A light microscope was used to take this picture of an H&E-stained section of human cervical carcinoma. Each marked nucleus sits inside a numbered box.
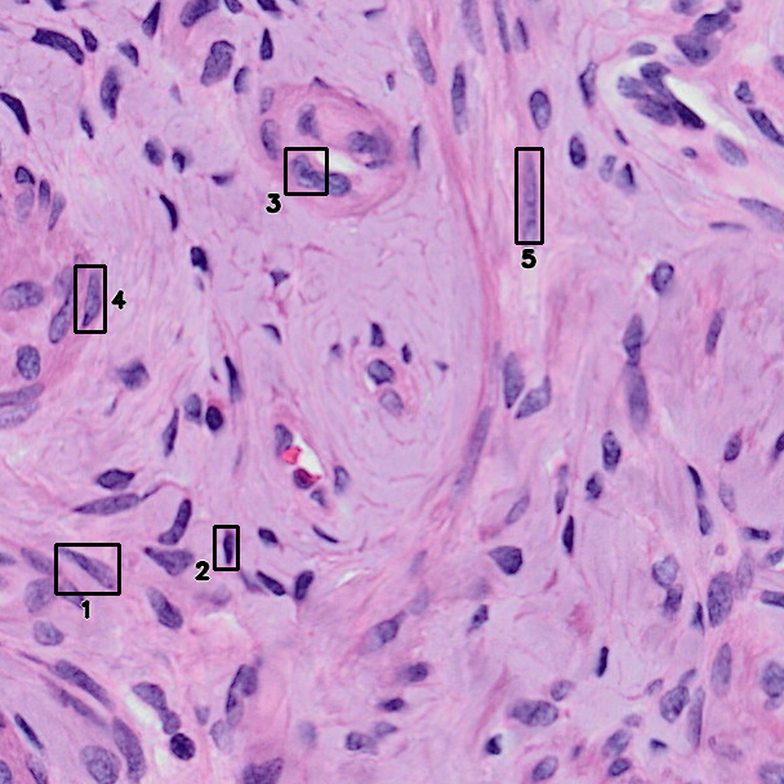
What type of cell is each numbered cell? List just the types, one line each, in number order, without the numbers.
fibroblast
fibroblast
endothelial cell
smooth muscle cell
smooth muscle cell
